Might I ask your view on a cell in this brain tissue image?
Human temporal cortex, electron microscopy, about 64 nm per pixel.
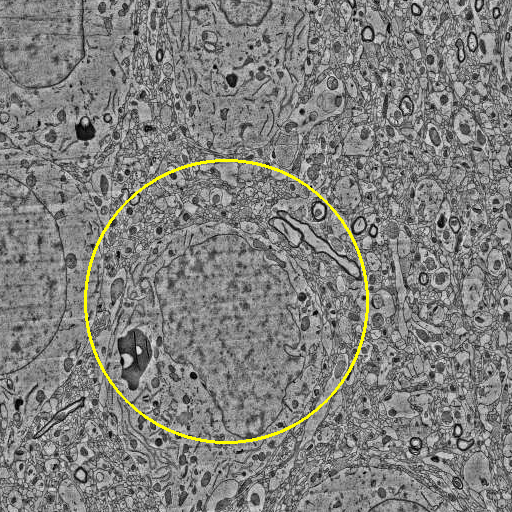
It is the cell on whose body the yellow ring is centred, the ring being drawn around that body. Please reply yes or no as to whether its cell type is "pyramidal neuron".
no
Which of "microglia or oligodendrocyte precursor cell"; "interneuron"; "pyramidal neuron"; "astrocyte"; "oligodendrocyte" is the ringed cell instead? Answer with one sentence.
Instead, the ringed cell here is an interneuron.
